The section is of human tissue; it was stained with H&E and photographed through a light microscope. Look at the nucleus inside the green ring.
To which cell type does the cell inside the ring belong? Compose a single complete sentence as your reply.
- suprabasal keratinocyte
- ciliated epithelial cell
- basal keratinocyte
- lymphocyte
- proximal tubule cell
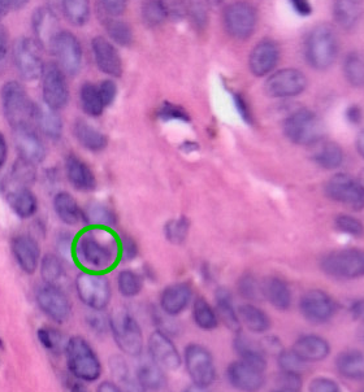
In the tissue at hand, the cell inside the ring is a basal keratinocyte.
